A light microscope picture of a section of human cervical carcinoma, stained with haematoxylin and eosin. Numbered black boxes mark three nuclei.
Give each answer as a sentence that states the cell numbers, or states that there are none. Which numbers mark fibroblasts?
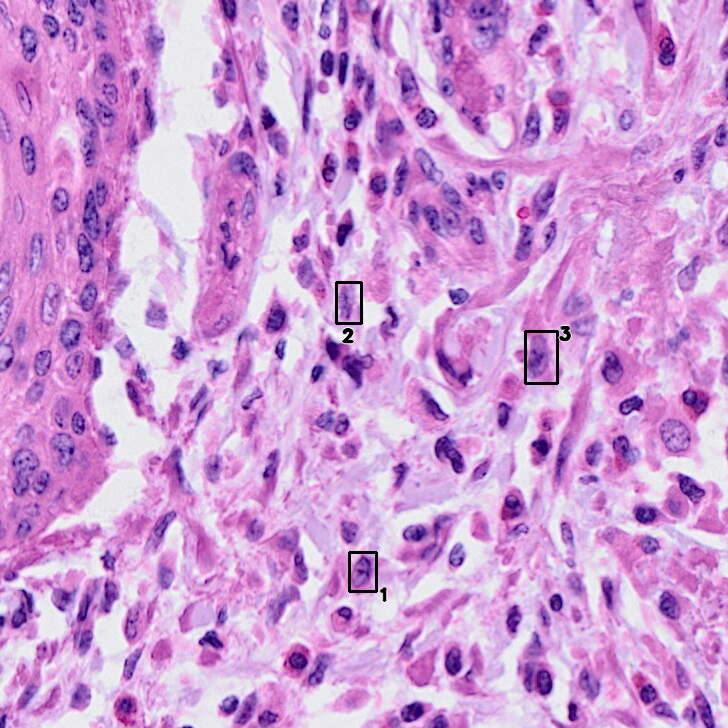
Only at number 2 is there a fibroblast.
